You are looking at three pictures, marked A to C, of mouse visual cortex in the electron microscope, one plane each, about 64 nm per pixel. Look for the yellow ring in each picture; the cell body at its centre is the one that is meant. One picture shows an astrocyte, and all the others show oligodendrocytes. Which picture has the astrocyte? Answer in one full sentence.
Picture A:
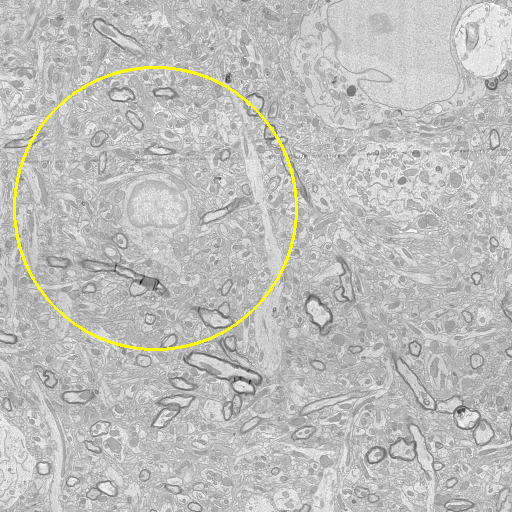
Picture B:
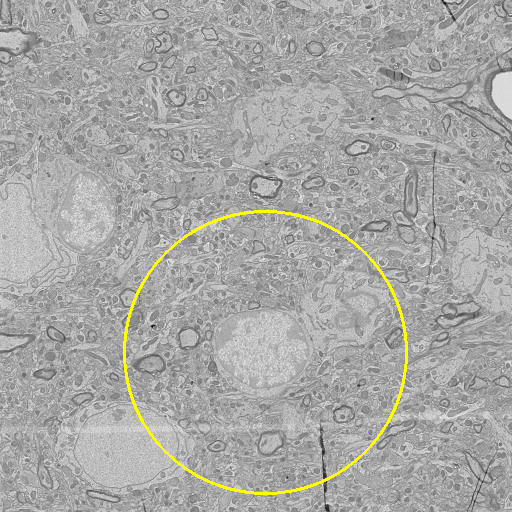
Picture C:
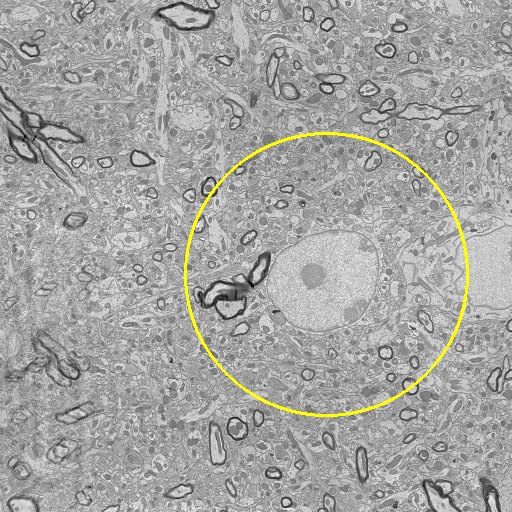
Picture C shows the astrocyte.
